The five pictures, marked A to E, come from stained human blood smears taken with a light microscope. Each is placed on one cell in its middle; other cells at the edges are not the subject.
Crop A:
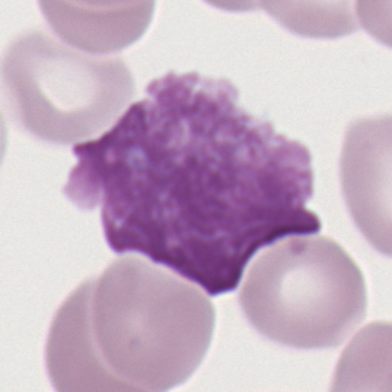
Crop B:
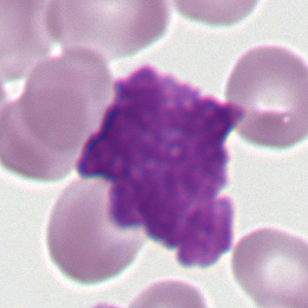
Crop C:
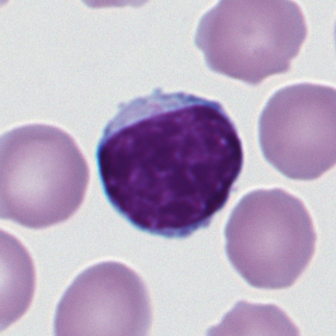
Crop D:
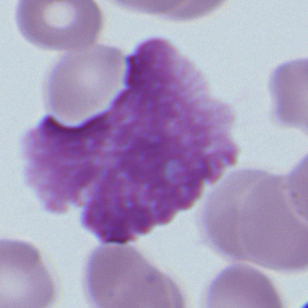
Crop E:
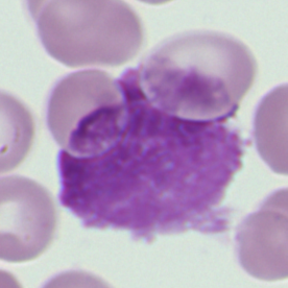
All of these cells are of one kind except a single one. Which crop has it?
C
